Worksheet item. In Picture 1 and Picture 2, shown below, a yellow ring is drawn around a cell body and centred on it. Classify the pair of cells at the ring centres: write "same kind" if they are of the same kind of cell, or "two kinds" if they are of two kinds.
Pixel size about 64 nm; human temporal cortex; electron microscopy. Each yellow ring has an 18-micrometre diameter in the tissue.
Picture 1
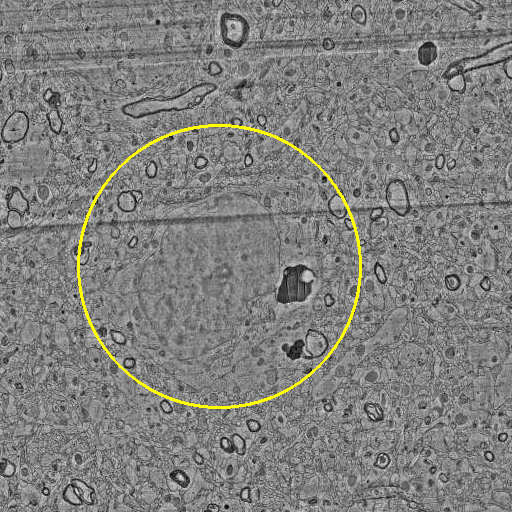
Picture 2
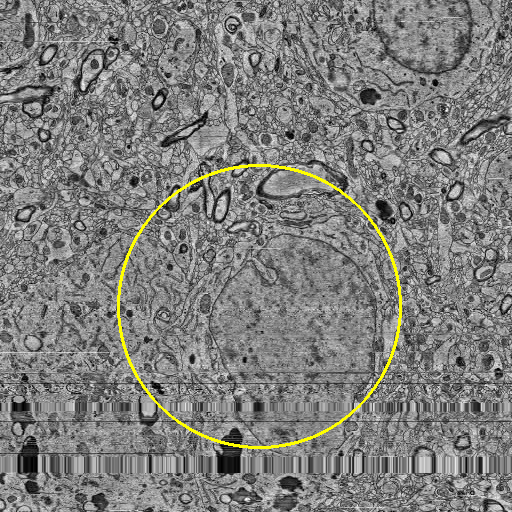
same kind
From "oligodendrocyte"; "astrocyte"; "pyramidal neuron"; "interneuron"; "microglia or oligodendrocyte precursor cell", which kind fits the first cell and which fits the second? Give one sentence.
The cell in the first picture is an interneuron, and so is the one in the second.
